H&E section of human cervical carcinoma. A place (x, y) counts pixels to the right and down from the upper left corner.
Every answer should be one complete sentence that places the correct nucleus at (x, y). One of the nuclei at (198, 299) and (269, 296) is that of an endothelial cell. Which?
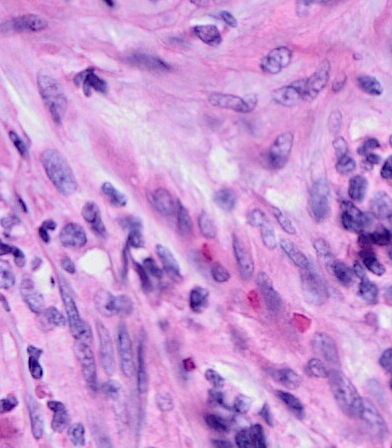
The nucleus contained in an endothelial cell is the one at (269, 296).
